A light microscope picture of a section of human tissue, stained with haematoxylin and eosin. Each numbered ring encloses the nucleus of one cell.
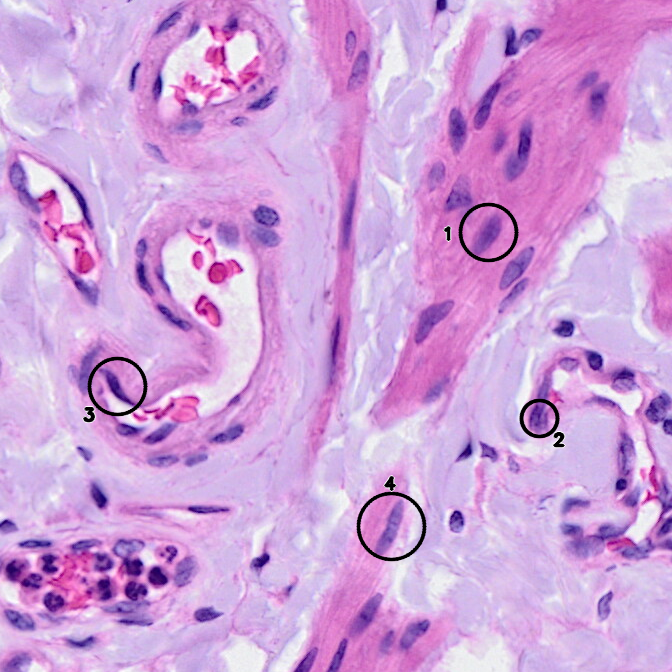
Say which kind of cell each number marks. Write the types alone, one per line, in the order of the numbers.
smooth muscle cell
endothelial cell
endothelial cell
smooth muscle cell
